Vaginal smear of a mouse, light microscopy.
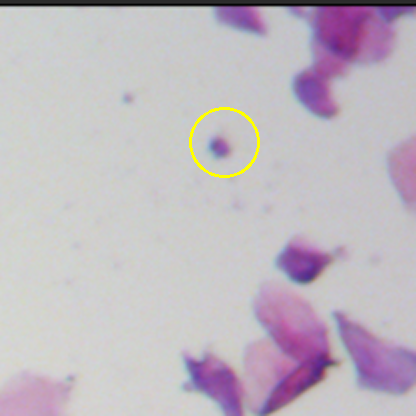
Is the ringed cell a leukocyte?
Yes, it is a leukocyte.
